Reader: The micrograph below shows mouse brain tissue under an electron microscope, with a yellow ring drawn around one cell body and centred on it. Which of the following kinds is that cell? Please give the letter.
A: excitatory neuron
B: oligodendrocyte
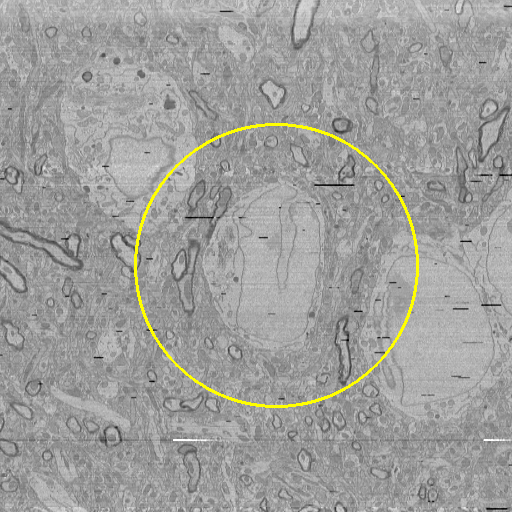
A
